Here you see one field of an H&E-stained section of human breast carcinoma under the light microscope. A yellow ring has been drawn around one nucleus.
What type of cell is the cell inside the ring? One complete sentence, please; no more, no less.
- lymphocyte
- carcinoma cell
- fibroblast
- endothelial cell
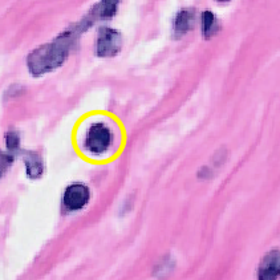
The correct response here is that the cell inside the ring is a lymphocyte.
